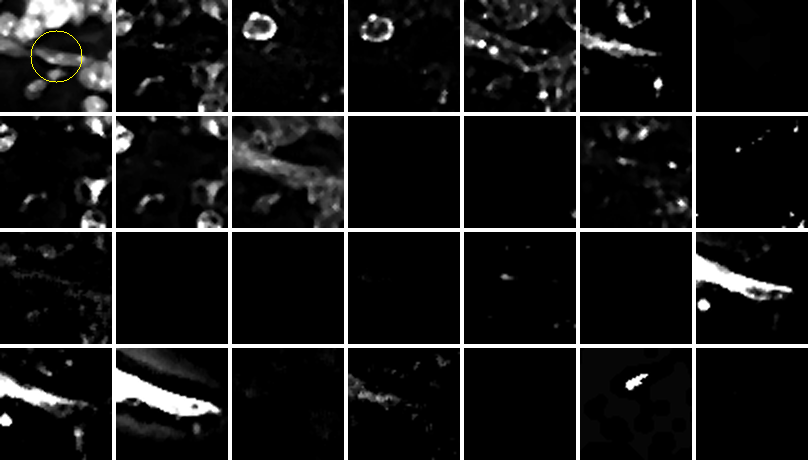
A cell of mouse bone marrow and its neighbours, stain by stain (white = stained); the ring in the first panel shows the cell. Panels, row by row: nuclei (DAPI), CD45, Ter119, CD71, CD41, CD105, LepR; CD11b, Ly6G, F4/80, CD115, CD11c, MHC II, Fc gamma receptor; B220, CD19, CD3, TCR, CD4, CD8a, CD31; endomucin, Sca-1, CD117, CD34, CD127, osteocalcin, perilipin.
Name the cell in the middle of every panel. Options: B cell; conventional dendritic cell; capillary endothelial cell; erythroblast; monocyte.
capillary endothelial cell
